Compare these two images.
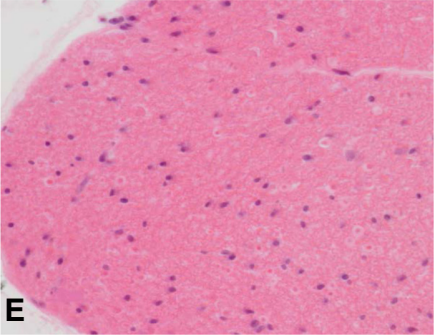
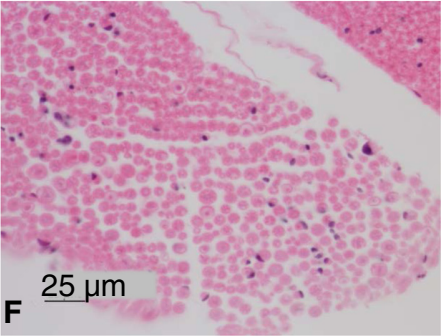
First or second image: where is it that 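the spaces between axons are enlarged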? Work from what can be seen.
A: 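Second image: axon profiles are separated by wide clear gaps and clefts. First image: tissue is densely packed with little clear space between profiles.
The second image.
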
